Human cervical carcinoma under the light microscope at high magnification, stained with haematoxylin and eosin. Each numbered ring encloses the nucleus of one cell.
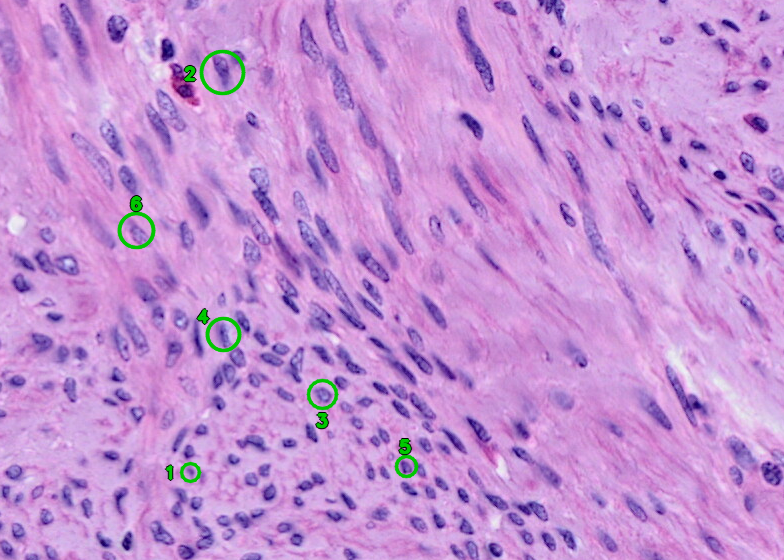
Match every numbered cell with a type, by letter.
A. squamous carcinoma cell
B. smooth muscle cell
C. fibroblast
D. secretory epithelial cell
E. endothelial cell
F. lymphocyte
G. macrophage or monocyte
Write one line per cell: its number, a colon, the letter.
1: B
2: C
3: B
4: C
5: B
6: B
